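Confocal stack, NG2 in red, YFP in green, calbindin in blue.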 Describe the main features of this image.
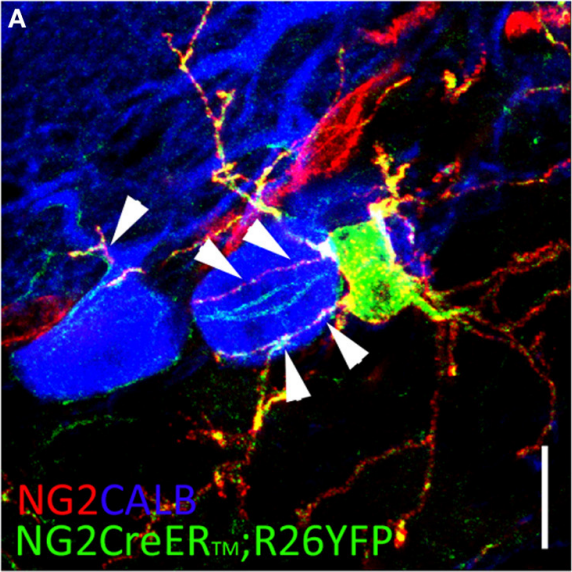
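This is cerebellar cortex showing large Purkinje cells filled with blue, their big oval somata sitting in a row with blue dendrites rising into the layer above. Beside them lies a smaller, irregular green cell body that sends out many thin, branching processes, which appear yellow to red where the colours overlap. These fine processes run along the surface of the Purkinje somata and climb over their dendrites, tracing the outline of the neighbouring cell bodies like a loose net. Other red processes and fragments are scattered through the surrounding neuropil.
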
